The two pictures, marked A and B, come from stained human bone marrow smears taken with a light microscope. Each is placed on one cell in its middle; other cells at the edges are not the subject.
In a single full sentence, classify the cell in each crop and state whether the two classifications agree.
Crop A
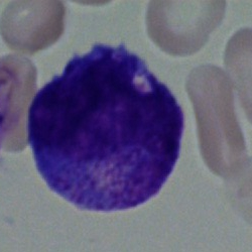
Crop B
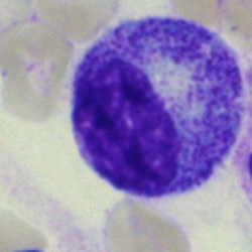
Yes, the central cells, in both crops, are promyelocytes.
